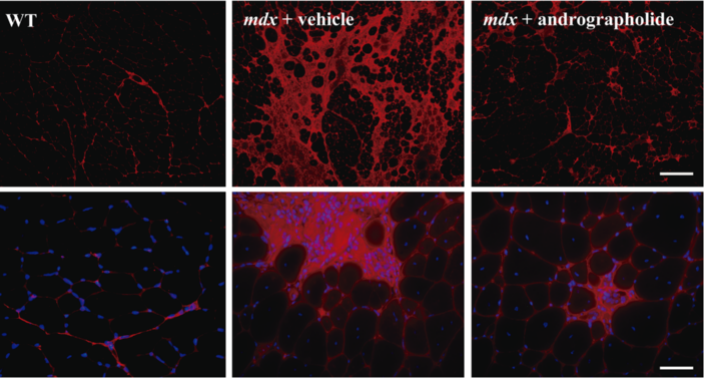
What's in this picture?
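Cross-sectioned skeletal muscle, low magnification above and high magnification below, with fibres outlined by red and blue nuclei at their margins. In the left column the red forms only thin lines between fibres. In the middle column extensive red areas spread between and around fibres of uneven size, crowded with blue nuclei. In the right column the red outlines are clear, with a smaller red patch holding clustered nuclei.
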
